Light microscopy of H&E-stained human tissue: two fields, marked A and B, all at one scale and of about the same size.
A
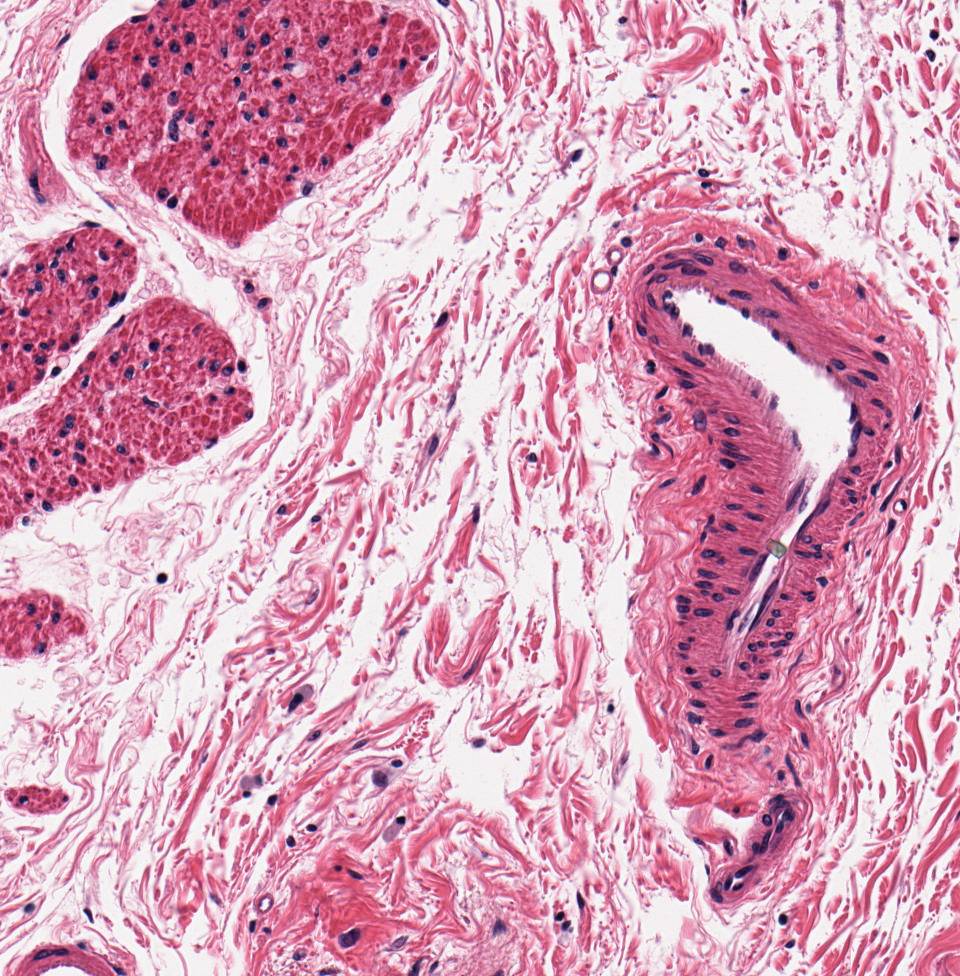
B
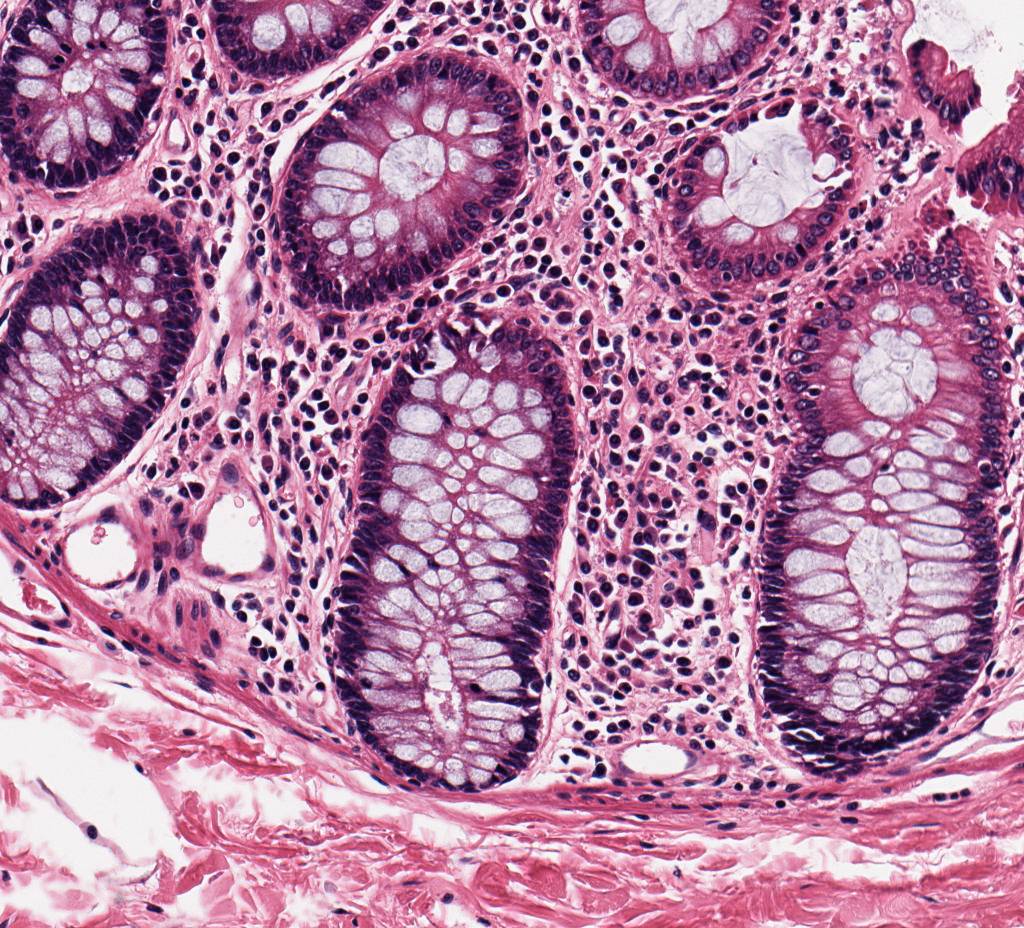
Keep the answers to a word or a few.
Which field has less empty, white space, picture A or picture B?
B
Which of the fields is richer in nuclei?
B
